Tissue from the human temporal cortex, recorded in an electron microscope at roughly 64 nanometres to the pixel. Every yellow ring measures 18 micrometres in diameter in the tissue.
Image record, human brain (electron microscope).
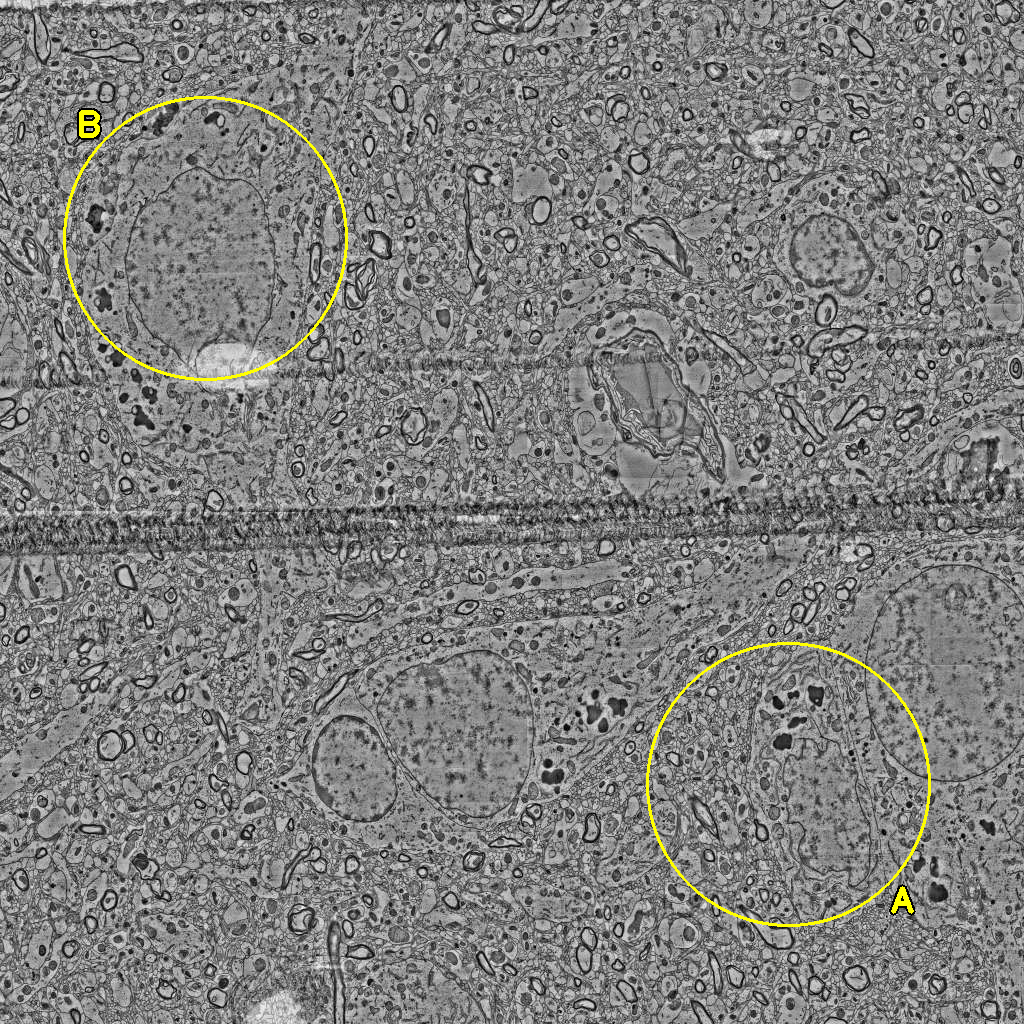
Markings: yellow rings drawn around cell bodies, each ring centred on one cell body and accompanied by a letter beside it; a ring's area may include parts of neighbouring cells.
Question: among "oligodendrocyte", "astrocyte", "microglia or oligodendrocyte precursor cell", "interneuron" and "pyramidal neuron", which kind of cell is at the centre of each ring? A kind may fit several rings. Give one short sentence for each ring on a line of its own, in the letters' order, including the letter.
Ring A is centred on the cell body of an interneuron.
Ring B is centred on the cell body of a pyramidal neuron.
